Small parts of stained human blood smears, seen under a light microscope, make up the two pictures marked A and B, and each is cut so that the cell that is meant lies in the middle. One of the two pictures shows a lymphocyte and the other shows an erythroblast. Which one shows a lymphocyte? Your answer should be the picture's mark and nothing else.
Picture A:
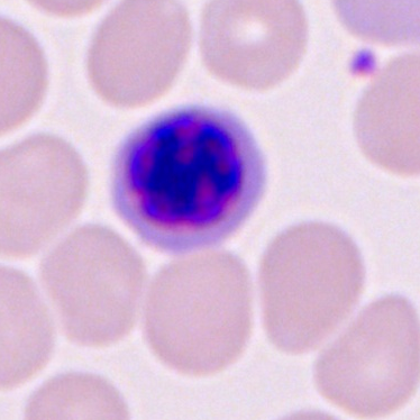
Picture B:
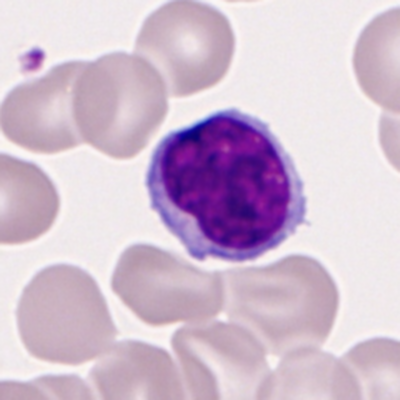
B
